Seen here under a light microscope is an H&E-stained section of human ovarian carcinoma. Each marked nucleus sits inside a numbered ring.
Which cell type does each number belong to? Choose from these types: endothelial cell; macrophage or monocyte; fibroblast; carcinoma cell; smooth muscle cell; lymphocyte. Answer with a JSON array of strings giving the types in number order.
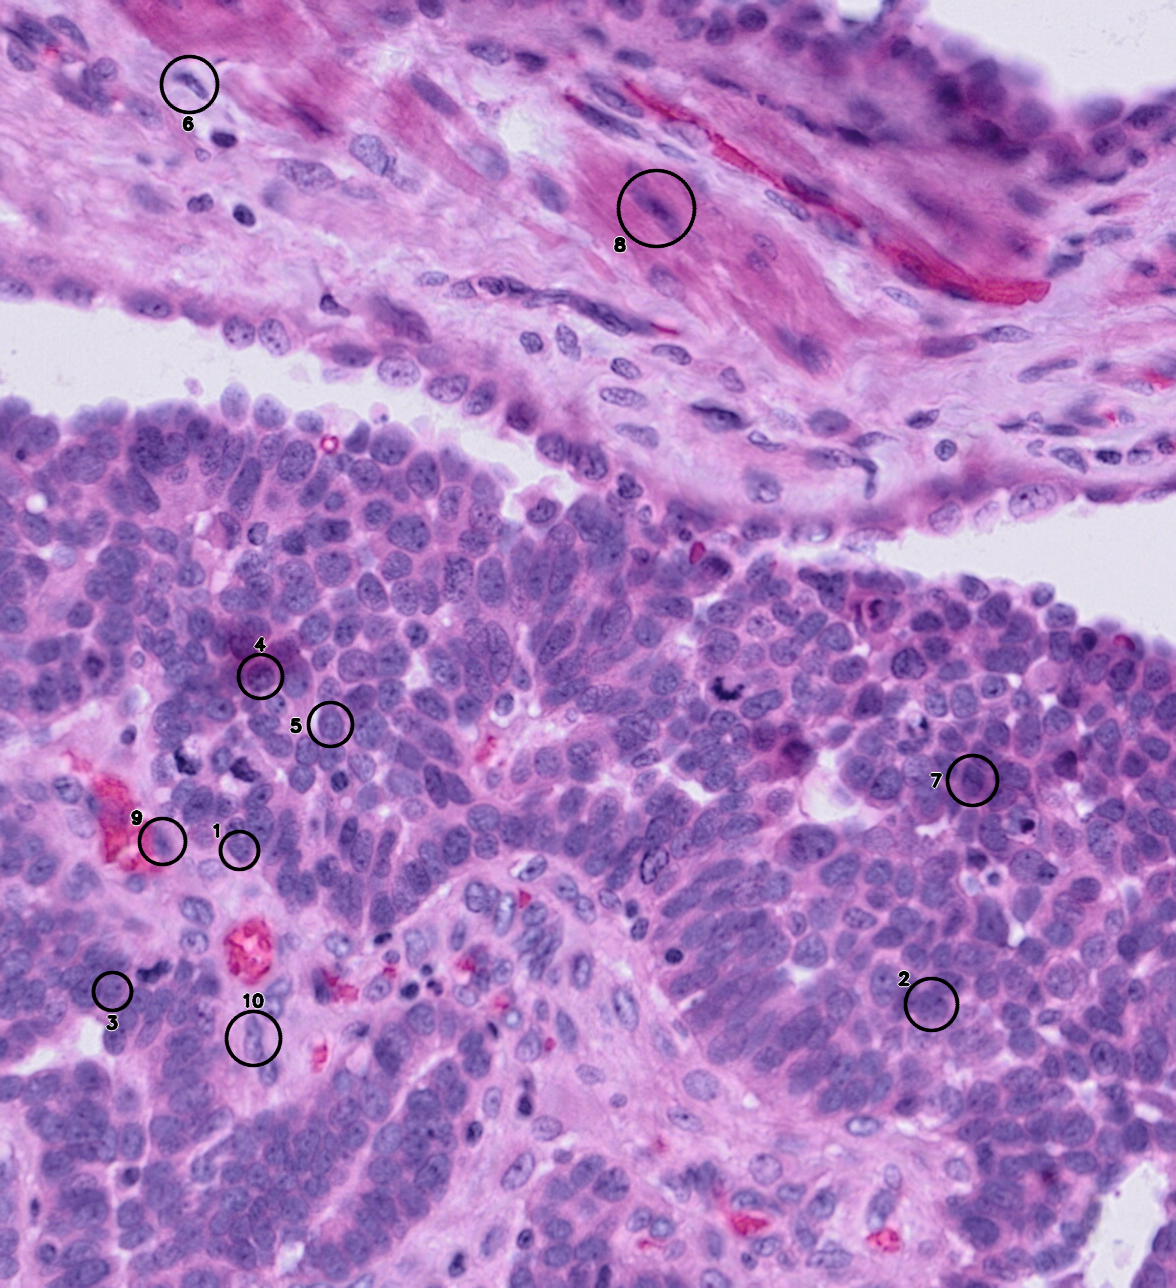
["carcinoma cell", "carcinoma cell", "carcinoma cell", "carcinoma cell", "carcinoma cell", "macrophage or monocyte", "carcinoma cell", "smooth muscle cell", "endothelial cell", "fibroblast"]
